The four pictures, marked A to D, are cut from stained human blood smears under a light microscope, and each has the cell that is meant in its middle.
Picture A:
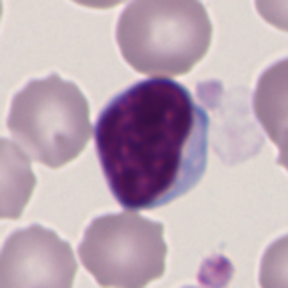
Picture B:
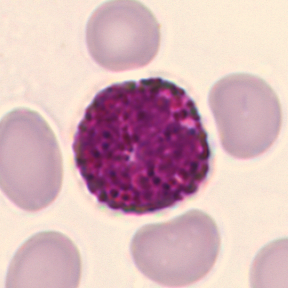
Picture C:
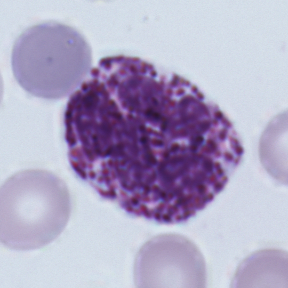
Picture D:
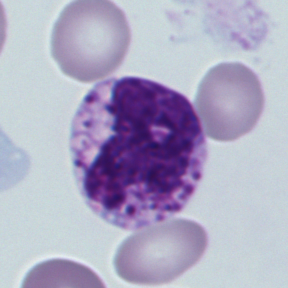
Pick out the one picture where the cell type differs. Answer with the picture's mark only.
A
